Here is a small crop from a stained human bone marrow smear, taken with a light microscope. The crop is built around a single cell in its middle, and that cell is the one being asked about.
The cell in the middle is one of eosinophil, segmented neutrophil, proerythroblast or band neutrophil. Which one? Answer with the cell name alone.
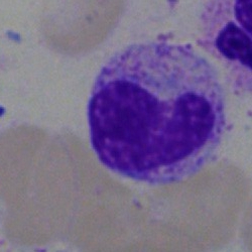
band neutrophil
